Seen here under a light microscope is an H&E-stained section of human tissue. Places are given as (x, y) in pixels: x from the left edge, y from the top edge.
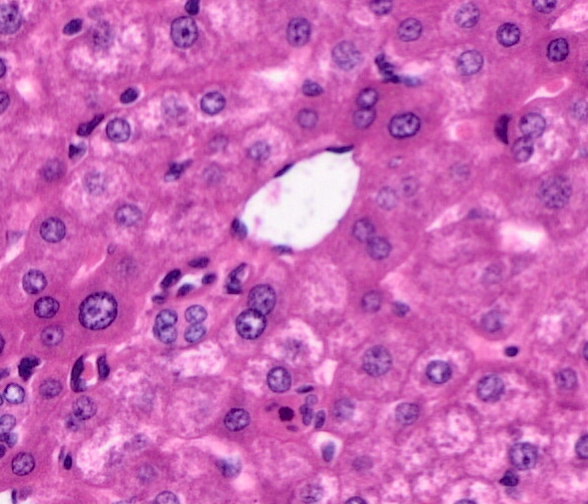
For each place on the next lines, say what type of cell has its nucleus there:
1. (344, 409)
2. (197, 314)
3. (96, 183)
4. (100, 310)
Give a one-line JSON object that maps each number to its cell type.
{"1": "hepatocyte", "2": "cholangiocyte", "3": "hepatocyte", "4": "hepatocyte"}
